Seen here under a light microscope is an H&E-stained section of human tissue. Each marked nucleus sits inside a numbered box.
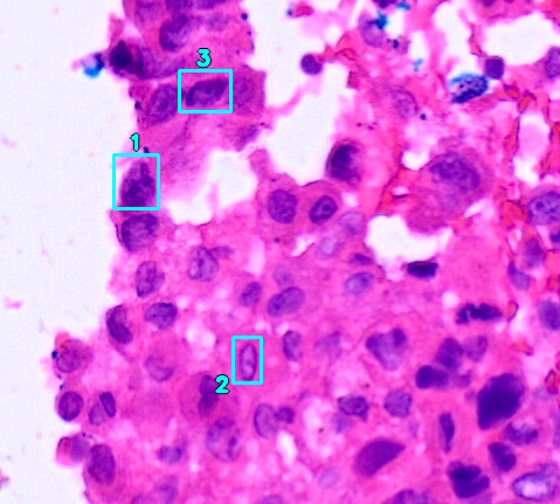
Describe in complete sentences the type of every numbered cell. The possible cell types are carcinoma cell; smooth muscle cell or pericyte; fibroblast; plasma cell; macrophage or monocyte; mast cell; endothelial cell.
Cell 1 is a carcinoma cell, cell 2 is a macrophage or monocyte and cell 3 is a carcinoma cell.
